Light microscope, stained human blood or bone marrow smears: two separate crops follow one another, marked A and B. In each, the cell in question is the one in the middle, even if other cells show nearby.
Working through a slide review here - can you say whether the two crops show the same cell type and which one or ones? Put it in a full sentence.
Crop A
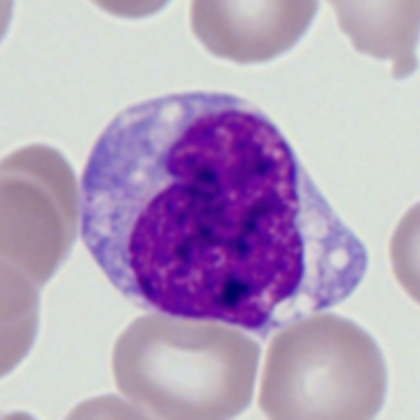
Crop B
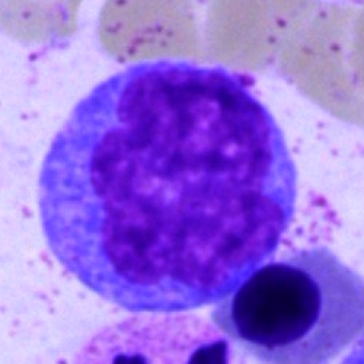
Yes, the cells under consideration in both crops are monocytes.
